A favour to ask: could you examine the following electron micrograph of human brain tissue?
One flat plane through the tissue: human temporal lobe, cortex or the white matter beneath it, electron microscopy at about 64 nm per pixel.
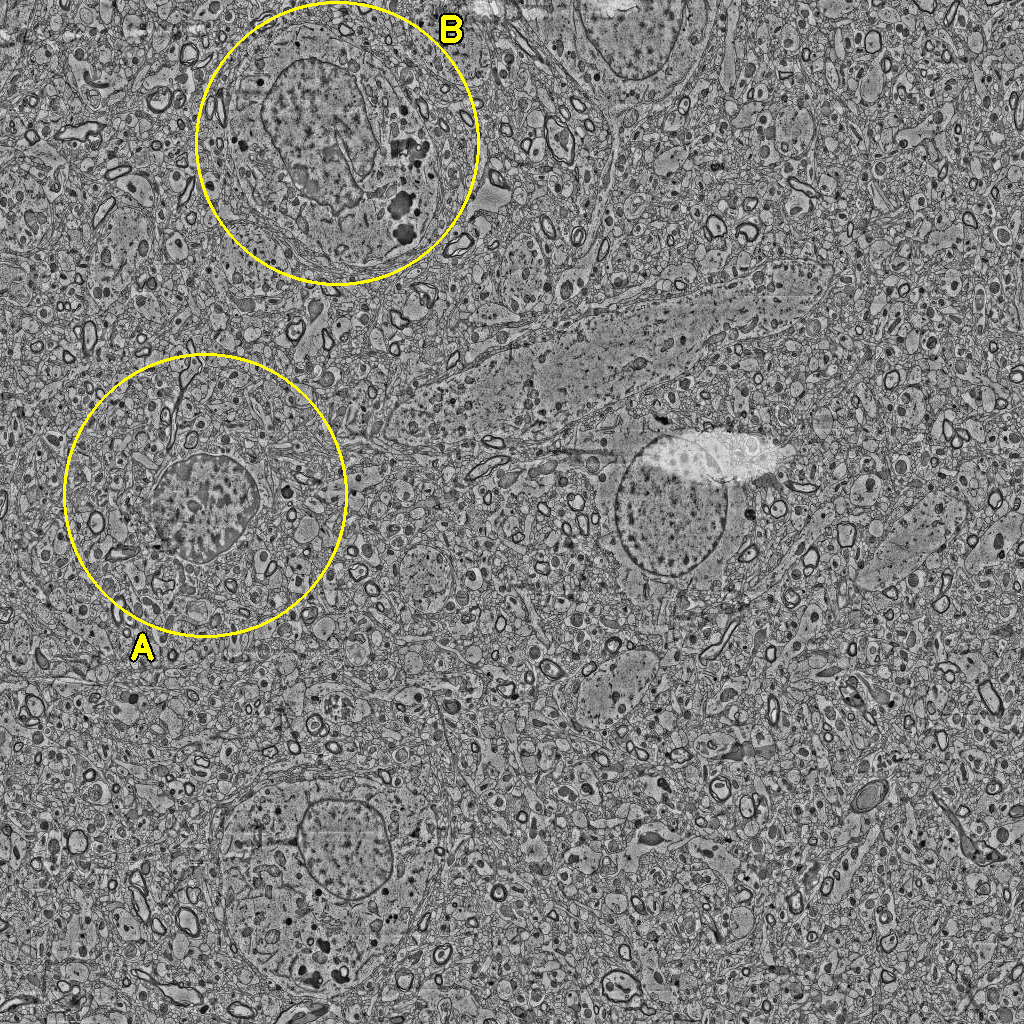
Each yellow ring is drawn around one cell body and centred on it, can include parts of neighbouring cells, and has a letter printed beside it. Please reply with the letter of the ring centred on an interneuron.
B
